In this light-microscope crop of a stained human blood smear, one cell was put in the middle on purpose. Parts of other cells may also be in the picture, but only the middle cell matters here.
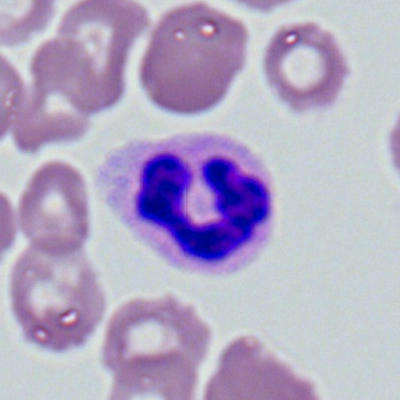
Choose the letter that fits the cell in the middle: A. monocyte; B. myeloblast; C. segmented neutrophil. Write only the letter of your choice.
C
